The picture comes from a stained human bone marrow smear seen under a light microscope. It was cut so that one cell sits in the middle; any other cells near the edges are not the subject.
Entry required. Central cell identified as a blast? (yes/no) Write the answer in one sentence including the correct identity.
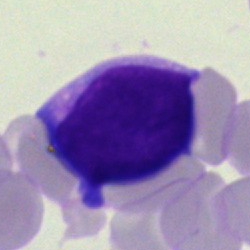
Yes, the cell positioned in the middle is a blast.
